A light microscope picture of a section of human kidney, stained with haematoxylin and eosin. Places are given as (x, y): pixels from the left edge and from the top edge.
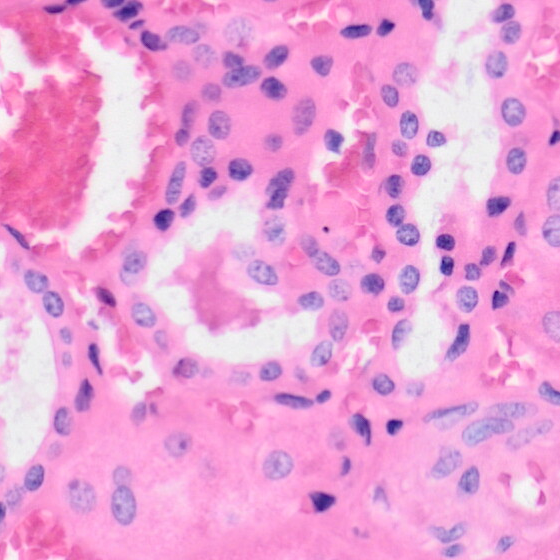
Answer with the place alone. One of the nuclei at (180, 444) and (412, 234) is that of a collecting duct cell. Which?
(412, 234)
